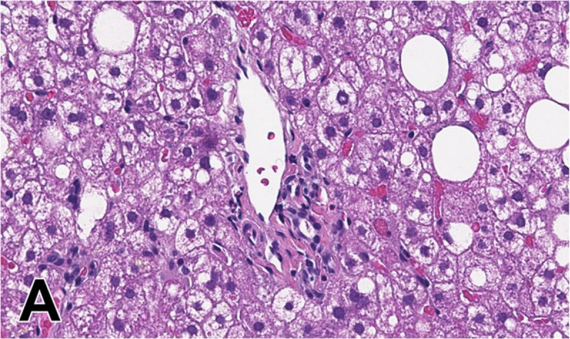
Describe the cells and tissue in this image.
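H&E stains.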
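This is liver parenchyma at higher magnification, made of large polygonal hepatocytes around a slit-like vessel. The hepatocytes have round central nuclei, some with visible nucleoli, and pale, finely vacuolated pink-purple cytoplasm. Scattered cells hold single large clear round fat vacuoles, while many others show small foamy vacuoles. Along the vessel lie a few elongated, dark spindle-shaped nuclei in a thin band of pink tissue. No dense cluster of small round inflammatory cells is present around the vessel.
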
